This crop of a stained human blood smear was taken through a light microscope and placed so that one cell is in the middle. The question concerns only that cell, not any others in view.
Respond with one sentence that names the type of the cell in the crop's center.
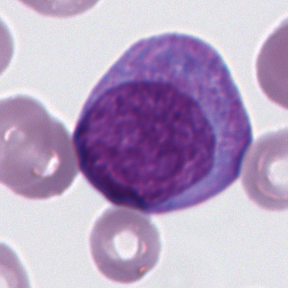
The cell nearest the centre of this crop is an atypical promyelocyte.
